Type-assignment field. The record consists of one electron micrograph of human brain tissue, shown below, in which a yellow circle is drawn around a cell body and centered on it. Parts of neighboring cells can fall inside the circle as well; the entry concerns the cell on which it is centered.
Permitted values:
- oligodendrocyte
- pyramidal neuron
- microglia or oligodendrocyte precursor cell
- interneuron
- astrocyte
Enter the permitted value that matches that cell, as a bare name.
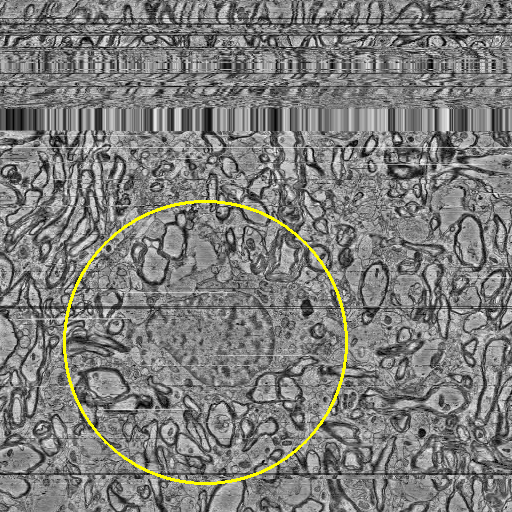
oligodendrocyte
